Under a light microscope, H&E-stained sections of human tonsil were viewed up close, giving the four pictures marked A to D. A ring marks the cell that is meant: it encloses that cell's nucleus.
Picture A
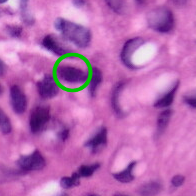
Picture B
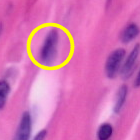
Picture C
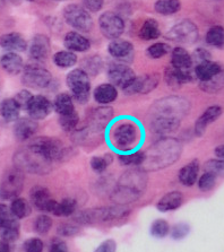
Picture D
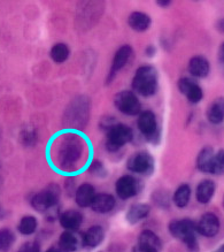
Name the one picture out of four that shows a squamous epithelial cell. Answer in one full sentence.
Picture A is the one that shows the squamous epithelial cell.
